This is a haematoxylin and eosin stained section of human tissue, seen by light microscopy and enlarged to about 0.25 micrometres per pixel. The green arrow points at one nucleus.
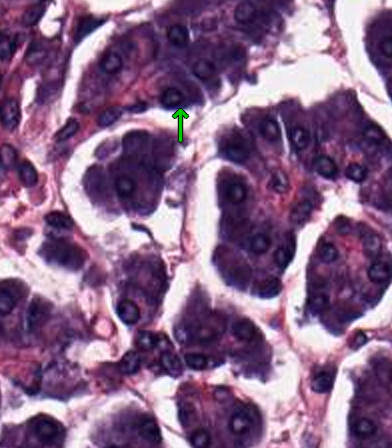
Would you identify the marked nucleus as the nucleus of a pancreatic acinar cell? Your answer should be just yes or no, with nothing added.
yes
